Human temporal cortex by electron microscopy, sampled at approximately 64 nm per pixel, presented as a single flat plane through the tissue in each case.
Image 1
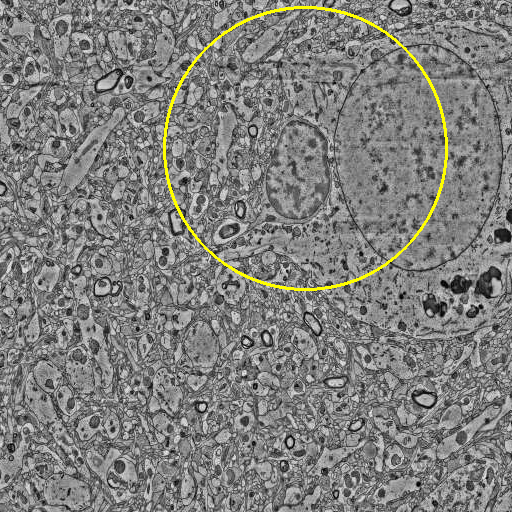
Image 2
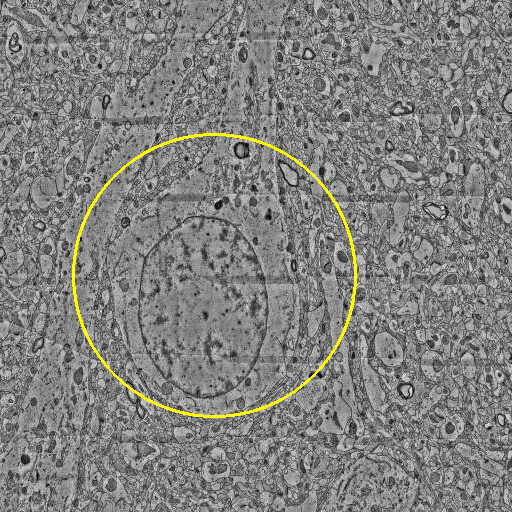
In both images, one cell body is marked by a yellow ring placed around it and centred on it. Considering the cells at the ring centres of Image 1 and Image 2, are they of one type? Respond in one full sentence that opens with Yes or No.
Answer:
No, two types apply to the ring-centred cells of Image 1 and Image 2.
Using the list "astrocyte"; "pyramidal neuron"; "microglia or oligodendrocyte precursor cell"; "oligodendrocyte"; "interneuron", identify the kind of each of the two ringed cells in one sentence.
The first is an oligodendrocyte and the second is a pyramidal neuron.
